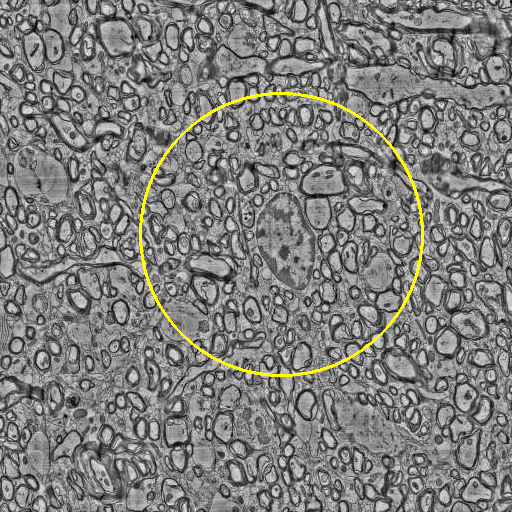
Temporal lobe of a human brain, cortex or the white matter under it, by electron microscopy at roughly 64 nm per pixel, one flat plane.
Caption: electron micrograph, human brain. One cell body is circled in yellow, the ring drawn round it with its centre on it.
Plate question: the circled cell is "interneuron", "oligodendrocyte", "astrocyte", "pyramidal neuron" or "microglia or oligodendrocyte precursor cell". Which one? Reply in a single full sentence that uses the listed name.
The yellow ring on the plate is centred on a microglial cell or oligodendrocyte precursor cell, going by the listed names.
